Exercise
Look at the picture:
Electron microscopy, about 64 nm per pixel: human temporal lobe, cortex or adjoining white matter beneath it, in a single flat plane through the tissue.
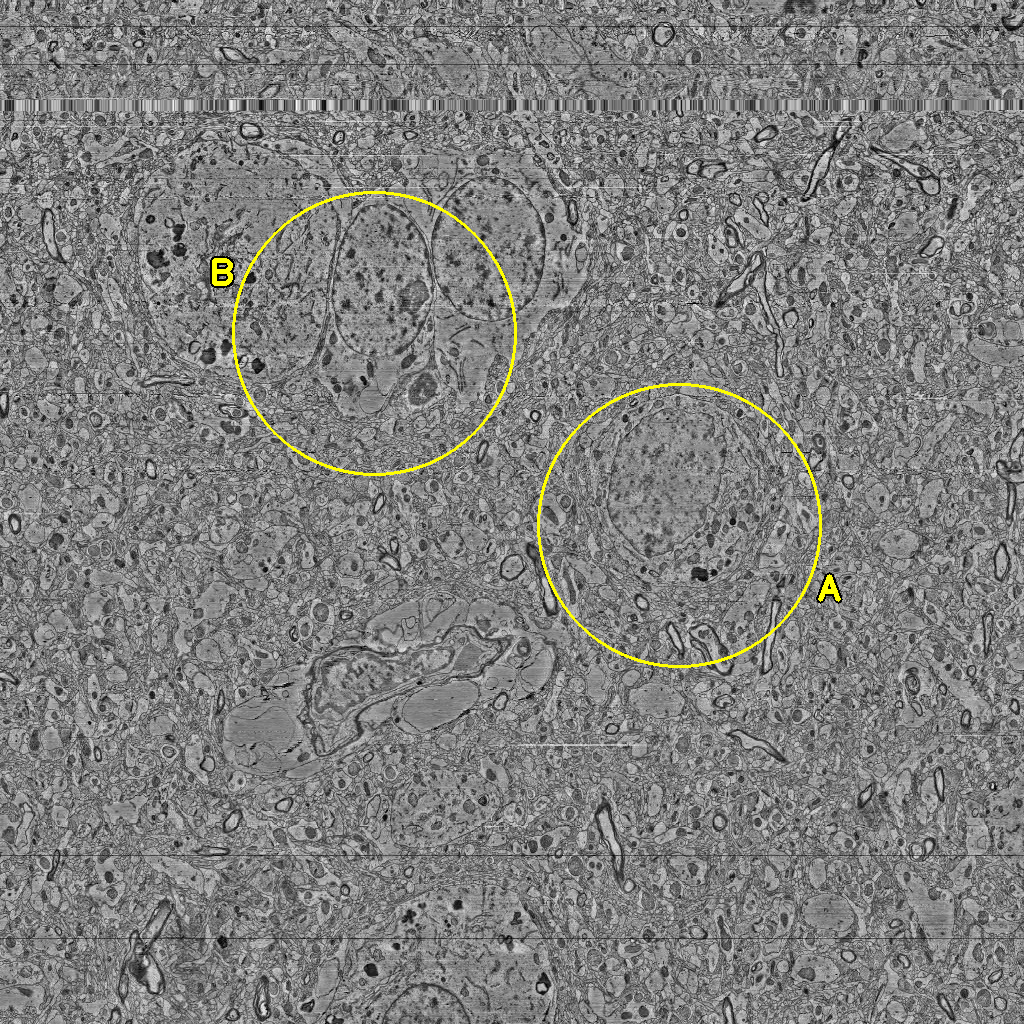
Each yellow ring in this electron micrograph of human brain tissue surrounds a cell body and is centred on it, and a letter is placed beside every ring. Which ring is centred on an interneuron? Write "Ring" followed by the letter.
Ring A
